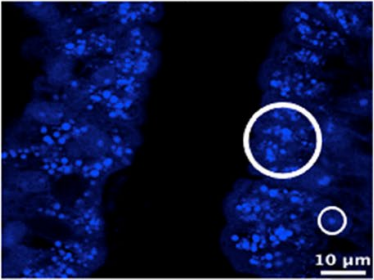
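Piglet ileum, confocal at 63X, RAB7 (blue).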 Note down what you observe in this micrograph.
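This is a section of ileal villi seen by confocal fluorescence, showing two bands of epithelial cells flanking a dark central lumen. The epithelial cytoplasm contains numerous round blue bodies of different sizes, brighter than the diffuse blue of the surrounding cytoplasm. Faint outlines of individual cells can be made out on the left villus, and the lumen between the villi is dark.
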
